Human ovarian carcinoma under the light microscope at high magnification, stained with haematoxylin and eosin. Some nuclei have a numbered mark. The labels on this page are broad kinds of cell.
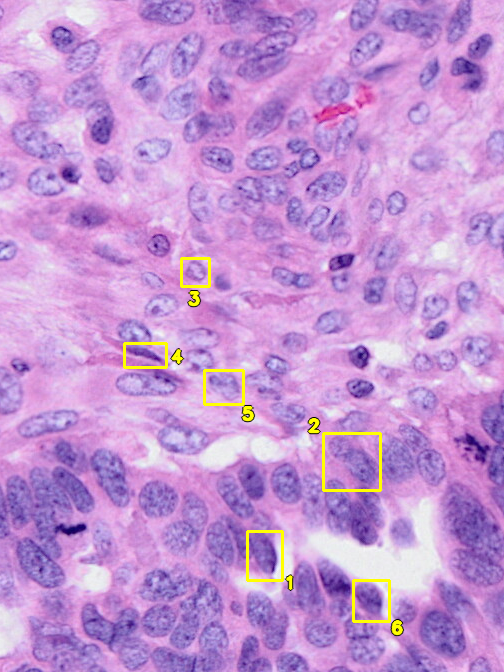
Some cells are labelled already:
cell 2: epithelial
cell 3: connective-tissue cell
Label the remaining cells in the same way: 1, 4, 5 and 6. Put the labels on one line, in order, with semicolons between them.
epithelial; connective-tissue cell; connective-tissue cell; epithelial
